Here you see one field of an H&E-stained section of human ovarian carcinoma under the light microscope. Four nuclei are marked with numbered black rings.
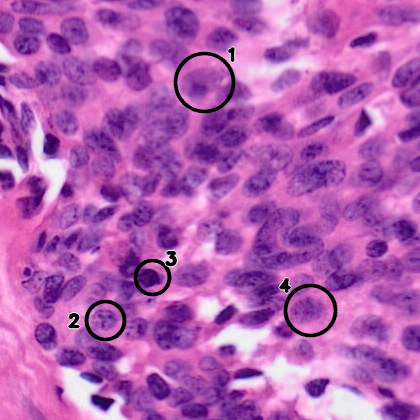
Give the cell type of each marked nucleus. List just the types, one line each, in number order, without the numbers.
carcinoma cell
macrophage or monocyte
carcinoma cell
carcinoma cell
